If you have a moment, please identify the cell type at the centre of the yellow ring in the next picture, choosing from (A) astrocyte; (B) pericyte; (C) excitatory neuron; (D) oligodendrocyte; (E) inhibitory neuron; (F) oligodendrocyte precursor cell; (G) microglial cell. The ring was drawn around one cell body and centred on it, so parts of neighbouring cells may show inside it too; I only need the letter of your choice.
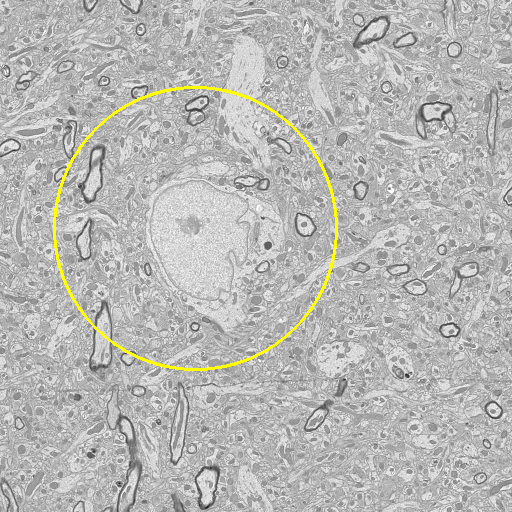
E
